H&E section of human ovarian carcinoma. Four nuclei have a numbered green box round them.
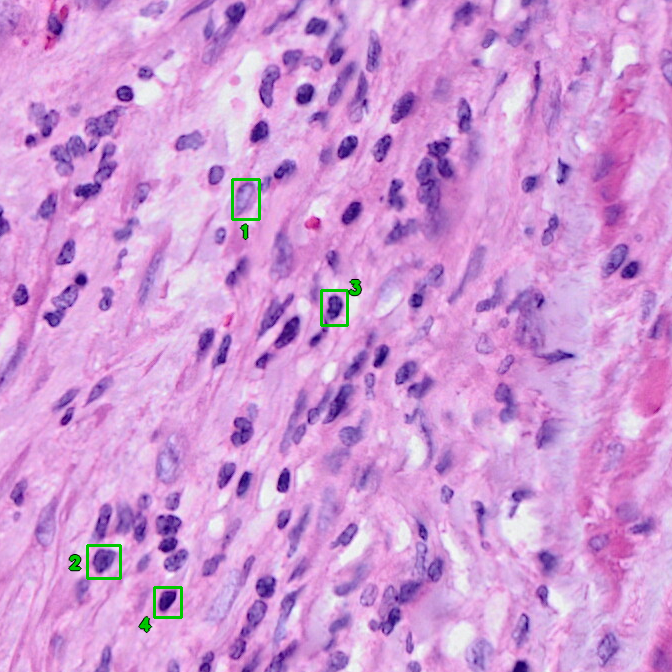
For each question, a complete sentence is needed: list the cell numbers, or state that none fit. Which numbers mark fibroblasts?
Cell 1 represents a fibroblast, and no other numbered cell does.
